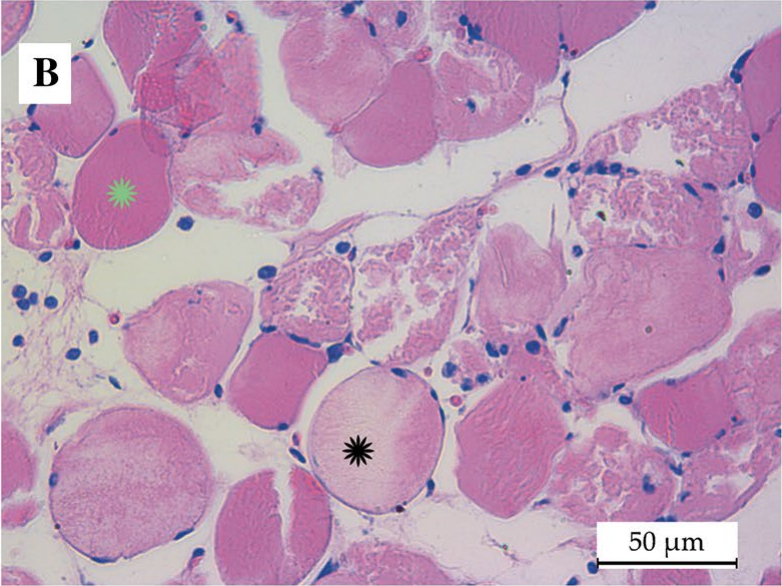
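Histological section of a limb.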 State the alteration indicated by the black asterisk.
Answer: Muscle fibber damaged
